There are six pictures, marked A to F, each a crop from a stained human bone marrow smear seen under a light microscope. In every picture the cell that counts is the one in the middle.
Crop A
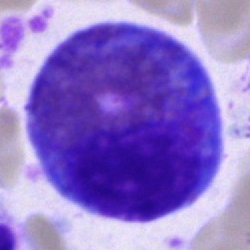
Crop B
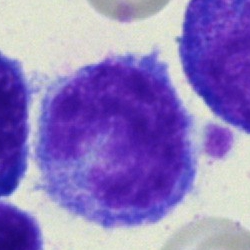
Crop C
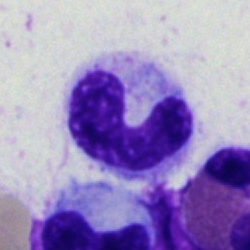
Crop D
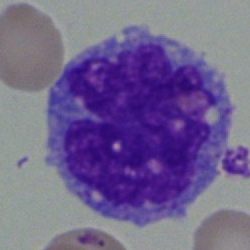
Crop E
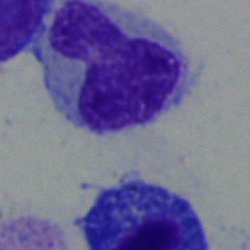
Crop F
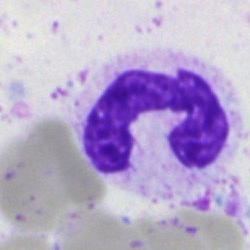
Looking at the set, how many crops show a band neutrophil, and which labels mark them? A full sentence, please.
As counted, two crops show band neutrophils: C and F.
